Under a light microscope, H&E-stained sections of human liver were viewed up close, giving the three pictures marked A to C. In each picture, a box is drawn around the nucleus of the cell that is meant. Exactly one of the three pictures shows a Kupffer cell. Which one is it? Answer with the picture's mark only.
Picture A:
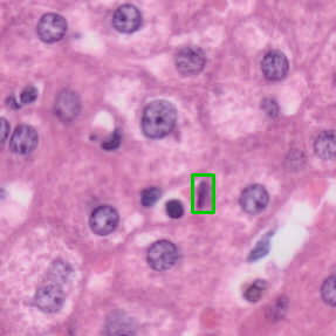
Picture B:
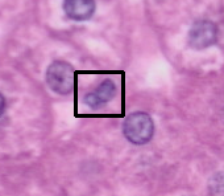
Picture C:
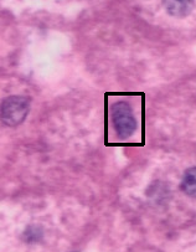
C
